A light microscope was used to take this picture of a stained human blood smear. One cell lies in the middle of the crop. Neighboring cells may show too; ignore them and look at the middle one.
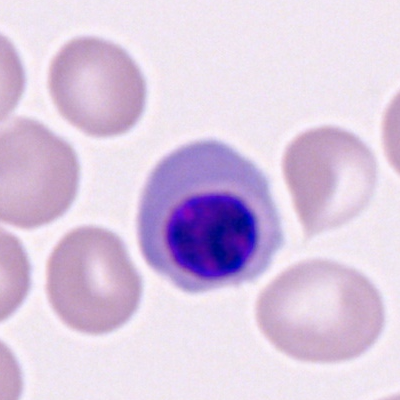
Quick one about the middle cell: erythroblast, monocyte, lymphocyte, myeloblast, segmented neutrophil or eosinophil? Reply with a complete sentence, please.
The middle position in this crop is taken by an erythroblast.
